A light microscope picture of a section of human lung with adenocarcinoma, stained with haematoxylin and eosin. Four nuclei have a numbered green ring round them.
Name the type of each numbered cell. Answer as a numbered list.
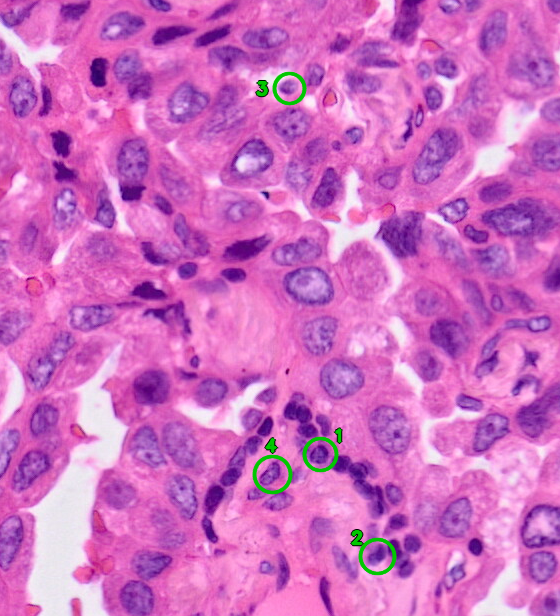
1. lymphocyte
2. lymphocyte
3. lymphocyte
4. mast cell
